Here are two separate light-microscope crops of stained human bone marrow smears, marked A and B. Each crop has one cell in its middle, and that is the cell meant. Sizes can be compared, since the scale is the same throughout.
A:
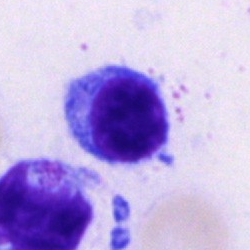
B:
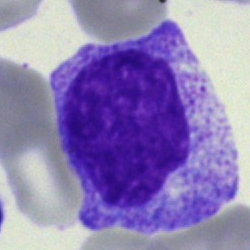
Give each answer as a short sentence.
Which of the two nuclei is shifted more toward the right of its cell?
The nucleus in crop A lies further toward the right of its cell.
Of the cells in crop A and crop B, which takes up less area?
Smaller is the cell in crop A, and the other is about 3 times as large in area.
